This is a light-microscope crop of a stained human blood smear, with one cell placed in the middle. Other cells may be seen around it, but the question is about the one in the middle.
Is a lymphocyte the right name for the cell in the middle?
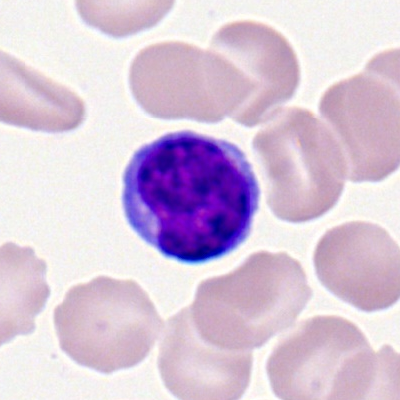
yes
